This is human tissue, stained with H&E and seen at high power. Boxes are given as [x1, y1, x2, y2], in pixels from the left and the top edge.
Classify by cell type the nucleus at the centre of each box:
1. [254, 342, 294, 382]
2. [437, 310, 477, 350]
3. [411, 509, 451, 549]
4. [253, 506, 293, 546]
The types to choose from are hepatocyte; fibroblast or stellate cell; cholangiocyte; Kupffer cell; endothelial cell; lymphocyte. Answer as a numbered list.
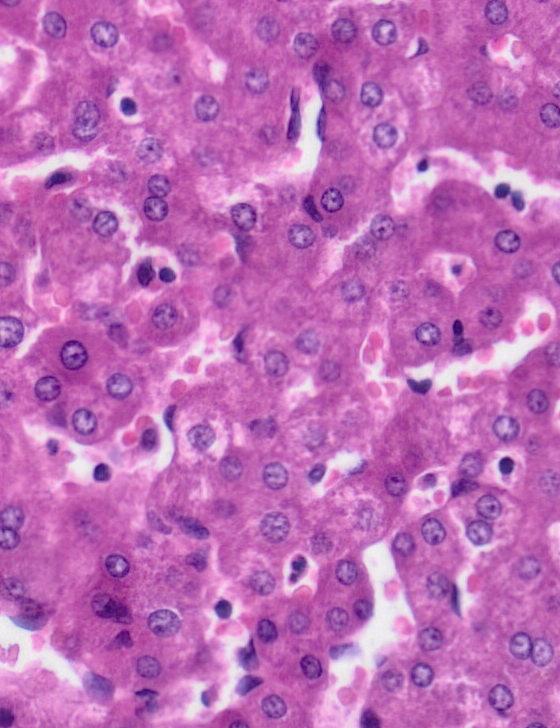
1. hepatocyte
2. fibroblast or stellate cell
3. hepatocyte
4. hepatocyte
